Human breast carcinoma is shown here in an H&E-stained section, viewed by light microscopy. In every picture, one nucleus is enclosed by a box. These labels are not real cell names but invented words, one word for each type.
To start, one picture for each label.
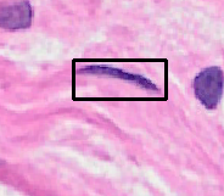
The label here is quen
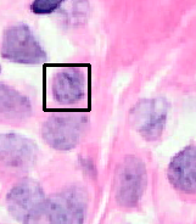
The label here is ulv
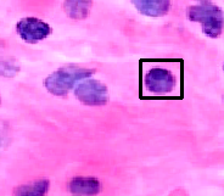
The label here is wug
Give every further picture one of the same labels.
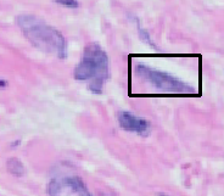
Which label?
quen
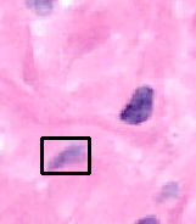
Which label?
quen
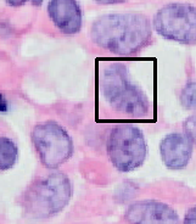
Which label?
ulv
